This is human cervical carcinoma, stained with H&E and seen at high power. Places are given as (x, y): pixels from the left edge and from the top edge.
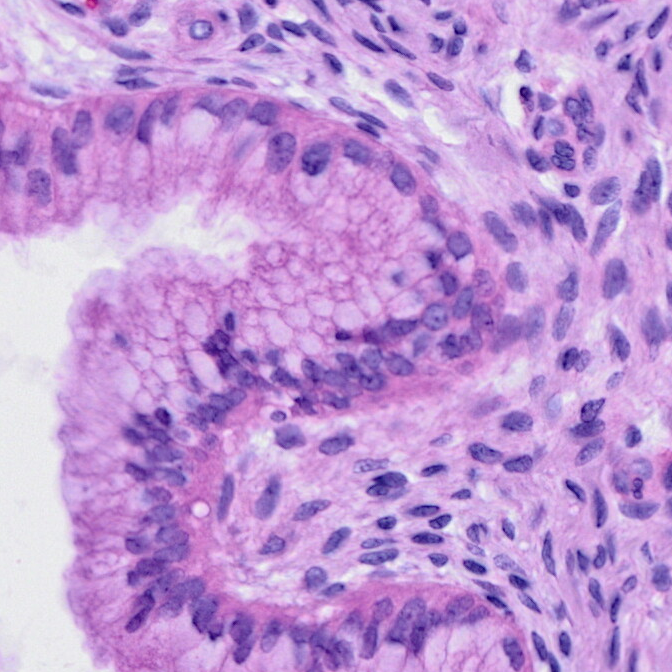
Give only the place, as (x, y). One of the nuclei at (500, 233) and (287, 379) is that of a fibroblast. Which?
(500, 233)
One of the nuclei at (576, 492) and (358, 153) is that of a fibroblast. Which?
(576, 492)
